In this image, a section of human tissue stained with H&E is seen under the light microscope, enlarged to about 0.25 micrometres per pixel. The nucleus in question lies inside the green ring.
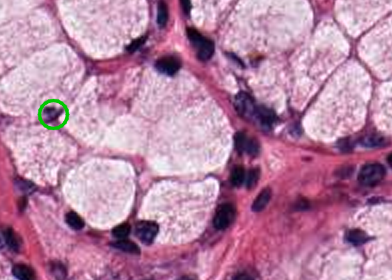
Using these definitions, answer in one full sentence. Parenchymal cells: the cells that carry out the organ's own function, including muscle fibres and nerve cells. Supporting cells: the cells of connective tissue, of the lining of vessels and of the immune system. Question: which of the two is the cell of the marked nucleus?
Seen here, the marked nucleus belongs to a parenchymal cell, namely a mucous gland cell.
